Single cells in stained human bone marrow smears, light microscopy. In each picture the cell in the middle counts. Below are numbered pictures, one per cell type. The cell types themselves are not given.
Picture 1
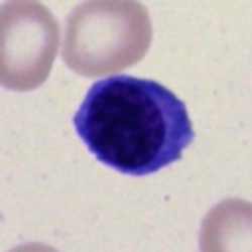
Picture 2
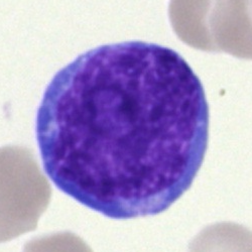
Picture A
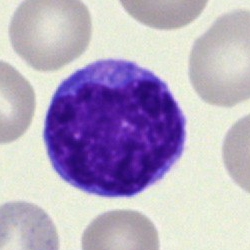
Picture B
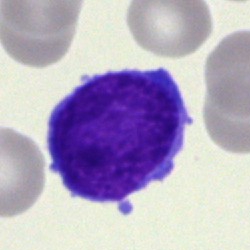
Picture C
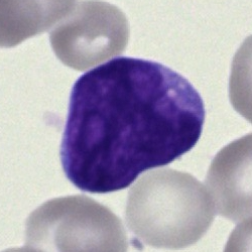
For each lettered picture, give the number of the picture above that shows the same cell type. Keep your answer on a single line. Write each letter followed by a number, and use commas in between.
A 2, B 2, C 2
